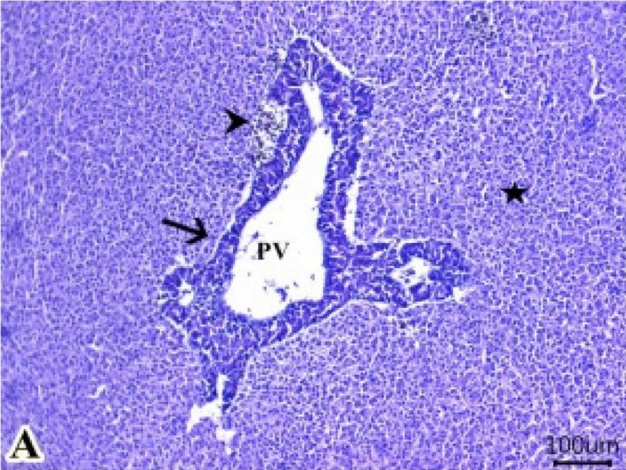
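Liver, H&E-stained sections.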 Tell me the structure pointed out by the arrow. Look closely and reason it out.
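A band of darker-staining, radially arranged cells forms a cuff around the large vessel. The cuff is set apart from the surrounding paler parenchyma.
Hence: pancreatic acini.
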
